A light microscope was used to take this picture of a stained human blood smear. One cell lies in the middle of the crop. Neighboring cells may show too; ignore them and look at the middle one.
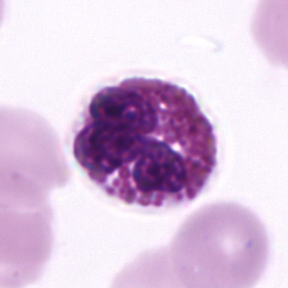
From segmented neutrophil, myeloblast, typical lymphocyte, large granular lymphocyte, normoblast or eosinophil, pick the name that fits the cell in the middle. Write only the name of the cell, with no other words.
eosinophil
